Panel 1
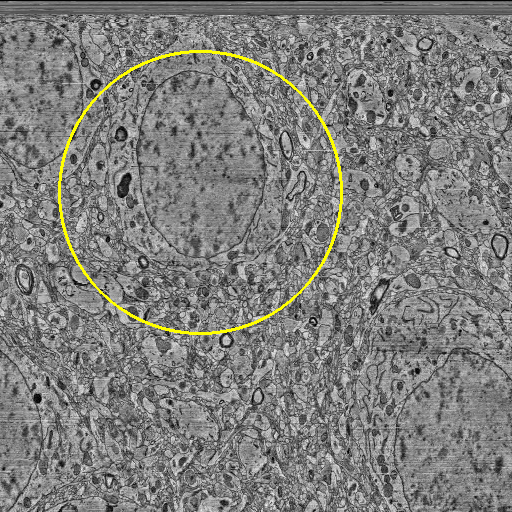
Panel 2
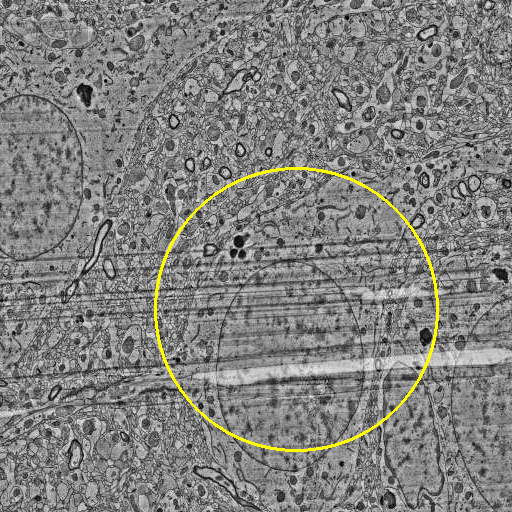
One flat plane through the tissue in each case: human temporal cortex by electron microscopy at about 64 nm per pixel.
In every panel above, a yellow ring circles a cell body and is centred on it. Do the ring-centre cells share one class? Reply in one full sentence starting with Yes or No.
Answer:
Yes, the two cells at the ring centres in the panels belong to one class.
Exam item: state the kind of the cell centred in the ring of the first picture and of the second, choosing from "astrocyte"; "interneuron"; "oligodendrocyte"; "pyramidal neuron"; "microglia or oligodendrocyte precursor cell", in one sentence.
The second cell is a pyramidal neuron, just as the first is.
